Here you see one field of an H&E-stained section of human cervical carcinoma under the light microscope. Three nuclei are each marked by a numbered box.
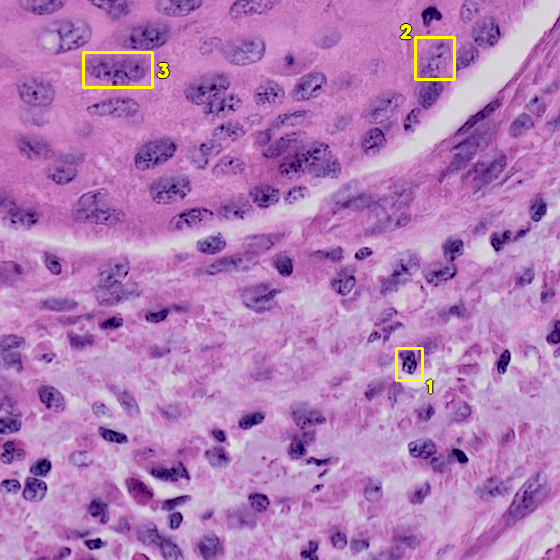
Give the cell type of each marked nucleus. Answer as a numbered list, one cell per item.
1. lymphocyte
2. squamous carcinoma cell
3. squamous carcinoma cell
